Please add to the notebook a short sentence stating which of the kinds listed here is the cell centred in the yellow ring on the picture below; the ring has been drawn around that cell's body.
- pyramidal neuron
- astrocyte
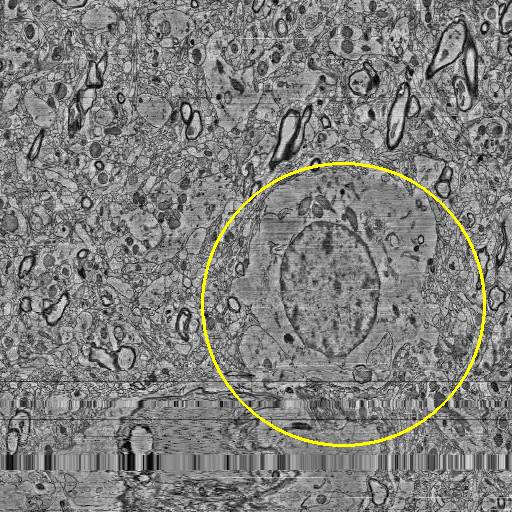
The cell centred in the yellow ring is an astrocyte.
